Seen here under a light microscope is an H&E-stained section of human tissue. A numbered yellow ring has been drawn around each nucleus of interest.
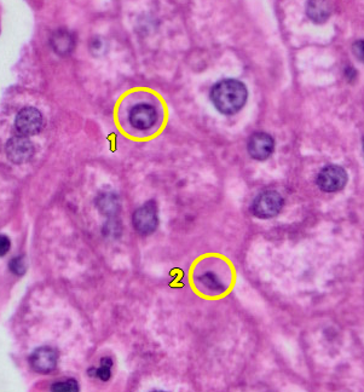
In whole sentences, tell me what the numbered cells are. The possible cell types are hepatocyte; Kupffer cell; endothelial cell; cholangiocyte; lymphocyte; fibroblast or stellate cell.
Cell 1 is a hepatocyte and cell 2 is an endothelial cell.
